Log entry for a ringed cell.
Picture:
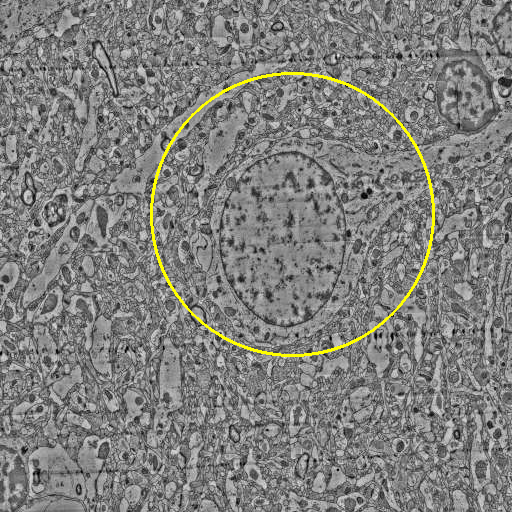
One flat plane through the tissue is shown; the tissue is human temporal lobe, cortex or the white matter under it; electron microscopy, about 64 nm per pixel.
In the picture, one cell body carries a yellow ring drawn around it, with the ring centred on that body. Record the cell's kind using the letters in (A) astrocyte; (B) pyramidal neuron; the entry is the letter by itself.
B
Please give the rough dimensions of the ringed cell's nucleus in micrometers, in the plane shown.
In this plane, about 11 micrometres in length and 8 in width.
